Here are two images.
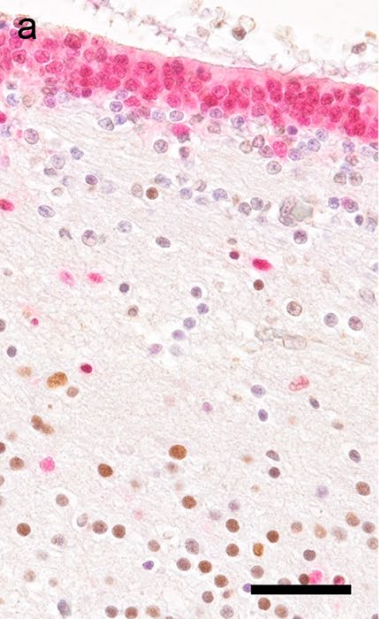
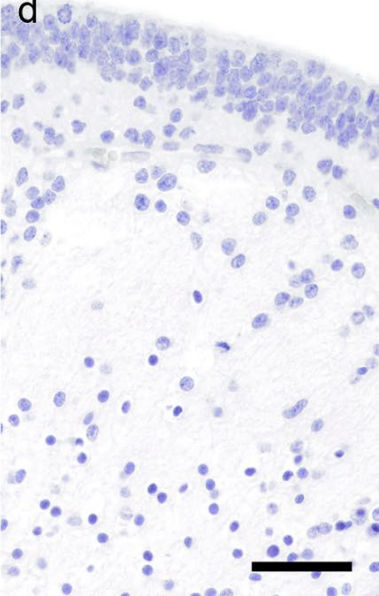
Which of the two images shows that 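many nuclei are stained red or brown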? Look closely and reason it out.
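Second image: all nuclei are blue only, with no red or brown colour. First image: the surface layer is intensely red and many deeper nuclei are brown or red. That points to this answer: the first image.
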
